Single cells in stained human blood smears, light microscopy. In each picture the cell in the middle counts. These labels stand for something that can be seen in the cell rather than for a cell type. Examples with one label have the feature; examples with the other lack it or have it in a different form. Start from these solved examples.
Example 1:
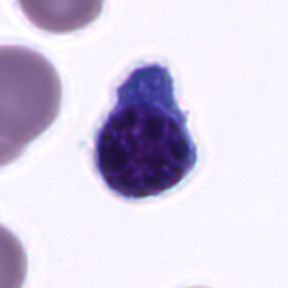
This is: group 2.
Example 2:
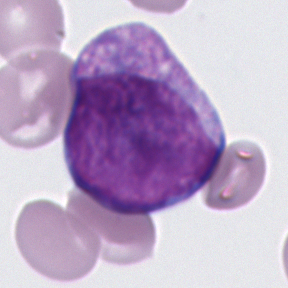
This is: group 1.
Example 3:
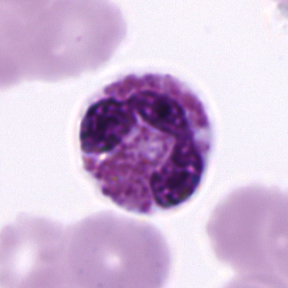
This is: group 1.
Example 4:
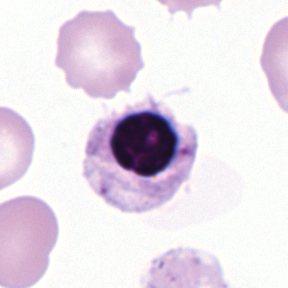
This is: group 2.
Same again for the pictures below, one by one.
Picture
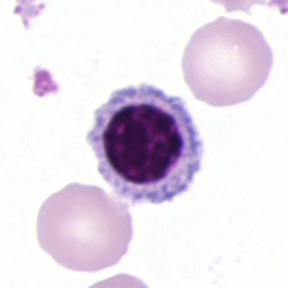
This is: group 2.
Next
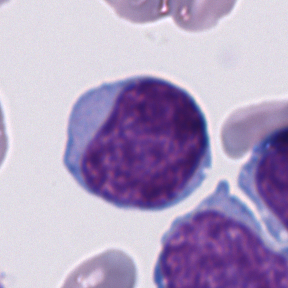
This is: group 1.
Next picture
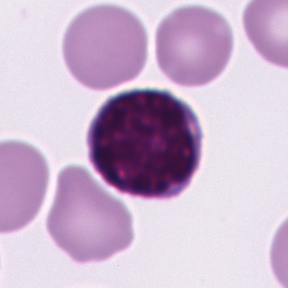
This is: group 1.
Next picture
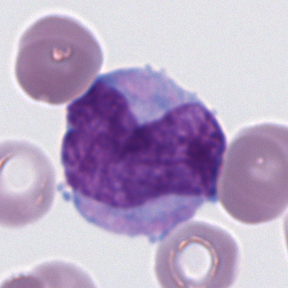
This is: group 2.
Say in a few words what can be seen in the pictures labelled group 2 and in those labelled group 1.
group 2: ragged outline or projections; group 1: smooth outline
